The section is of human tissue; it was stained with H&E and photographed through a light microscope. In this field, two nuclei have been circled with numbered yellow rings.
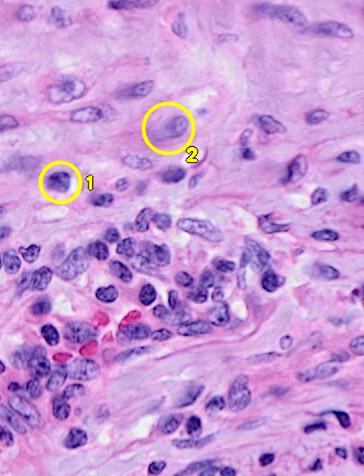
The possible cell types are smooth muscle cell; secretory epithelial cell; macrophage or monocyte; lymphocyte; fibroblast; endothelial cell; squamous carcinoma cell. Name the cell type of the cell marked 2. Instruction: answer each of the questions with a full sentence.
Recognised here as a smooth muscle cell is the cell numbered 2.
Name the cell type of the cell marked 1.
Here, the cell given the number 1 is a lymphocyte.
